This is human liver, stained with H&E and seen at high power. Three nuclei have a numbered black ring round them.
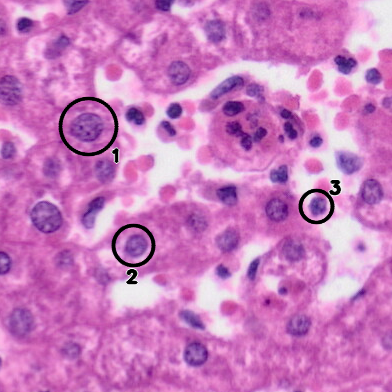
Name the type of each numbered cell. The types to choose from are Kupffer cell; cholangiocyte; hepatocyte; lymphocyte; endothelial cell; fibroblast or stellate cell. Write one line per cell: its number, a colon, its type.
1: hepatocyte
2: hepatocyte
3: lymphocyte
